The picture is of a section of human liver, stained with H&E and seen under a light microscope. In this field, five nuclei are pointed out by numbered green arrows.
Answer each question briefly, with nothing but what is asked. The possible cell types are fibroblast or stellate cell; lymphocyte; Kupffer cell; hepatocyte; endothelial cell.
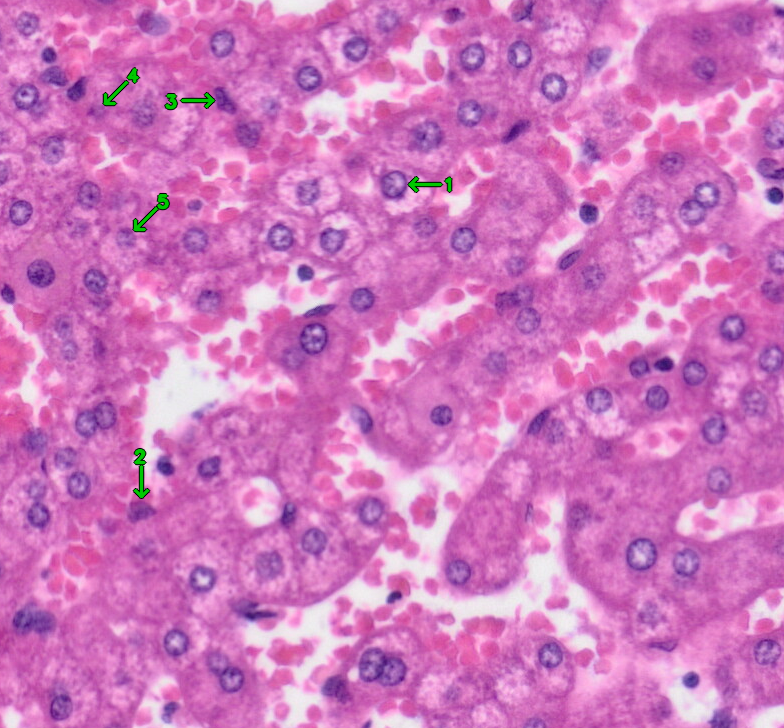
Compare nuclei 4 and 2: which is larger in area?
2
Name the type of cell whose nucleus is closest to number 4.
fibroblast or stellate cell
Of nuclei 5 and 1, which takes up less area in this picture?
5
